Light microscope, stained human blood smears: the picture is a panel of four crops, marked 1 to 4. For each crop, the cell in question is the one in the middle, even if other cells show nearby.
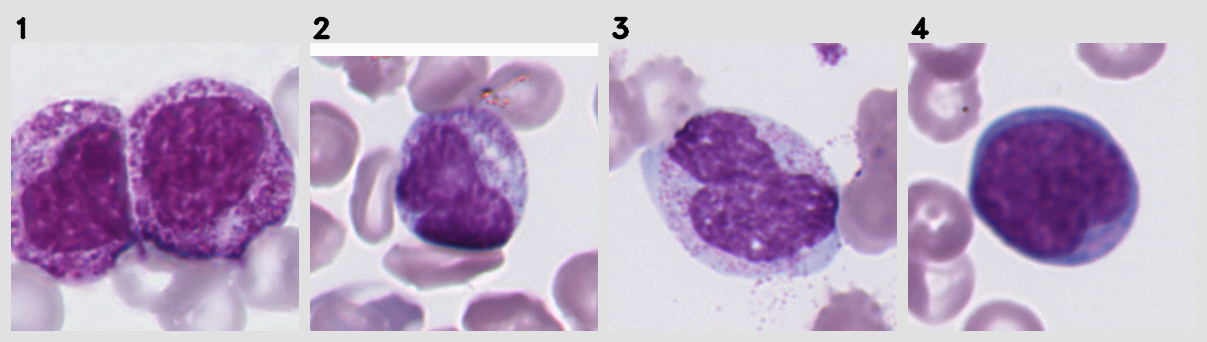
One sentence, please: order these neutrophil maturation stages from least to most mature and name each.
So the order, from least to most mature, is crop 4 (a blast), crop 1 (a myelocyte), crop 2 (a metamyelocyte) and crop 3 (a band neutrophil).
